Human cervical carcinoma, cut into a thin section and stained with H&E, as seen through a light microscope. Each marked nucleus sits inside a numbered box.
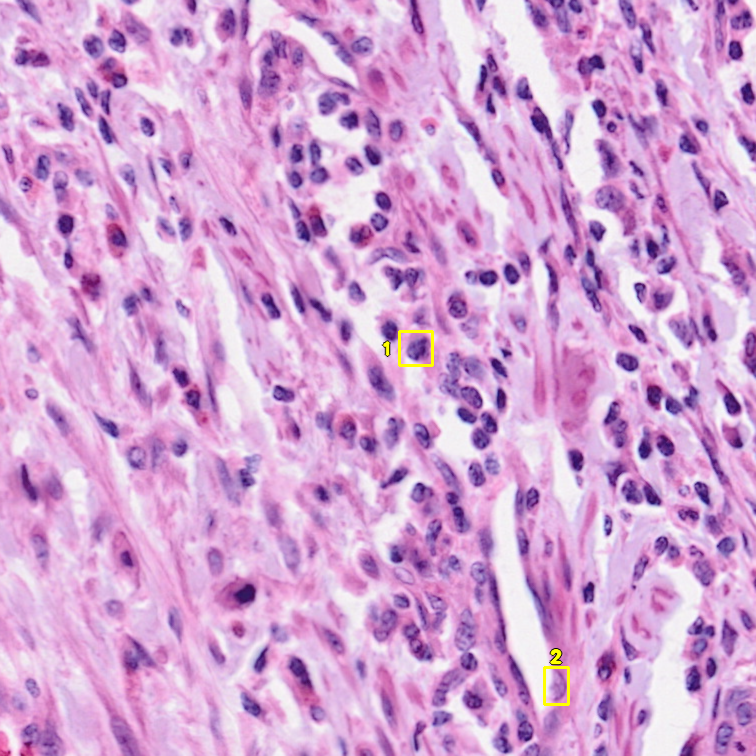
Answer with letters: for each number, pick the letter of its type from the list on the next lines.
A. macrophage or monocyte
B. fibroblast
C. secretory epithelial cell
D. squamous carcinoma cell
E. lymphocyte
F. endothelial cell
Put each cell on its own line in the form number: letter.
1: E
2: F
